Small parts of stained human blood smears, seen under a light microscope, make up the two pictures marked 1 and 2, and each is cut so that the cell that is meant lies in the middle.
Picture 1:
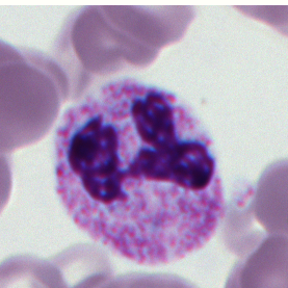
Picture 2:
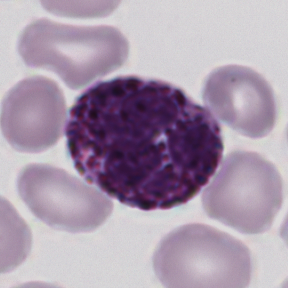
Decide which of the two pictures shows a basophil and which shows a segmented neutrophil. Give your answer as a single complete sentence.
The cell in picture 1 is a segmented neutrophil, and the one in picture 2 is a basophil.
